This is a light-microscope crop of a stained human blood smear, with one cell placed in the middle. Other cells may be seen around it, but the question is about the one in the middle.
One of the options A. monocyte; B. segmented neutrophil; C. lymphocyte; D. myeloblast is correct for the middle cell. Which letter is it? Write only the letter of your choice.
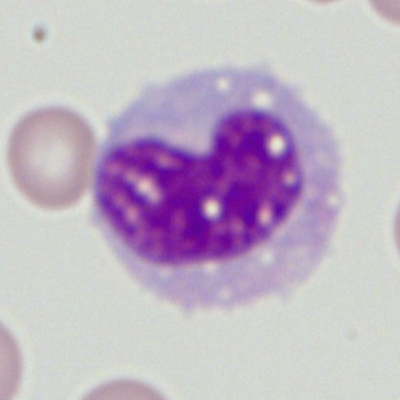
A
